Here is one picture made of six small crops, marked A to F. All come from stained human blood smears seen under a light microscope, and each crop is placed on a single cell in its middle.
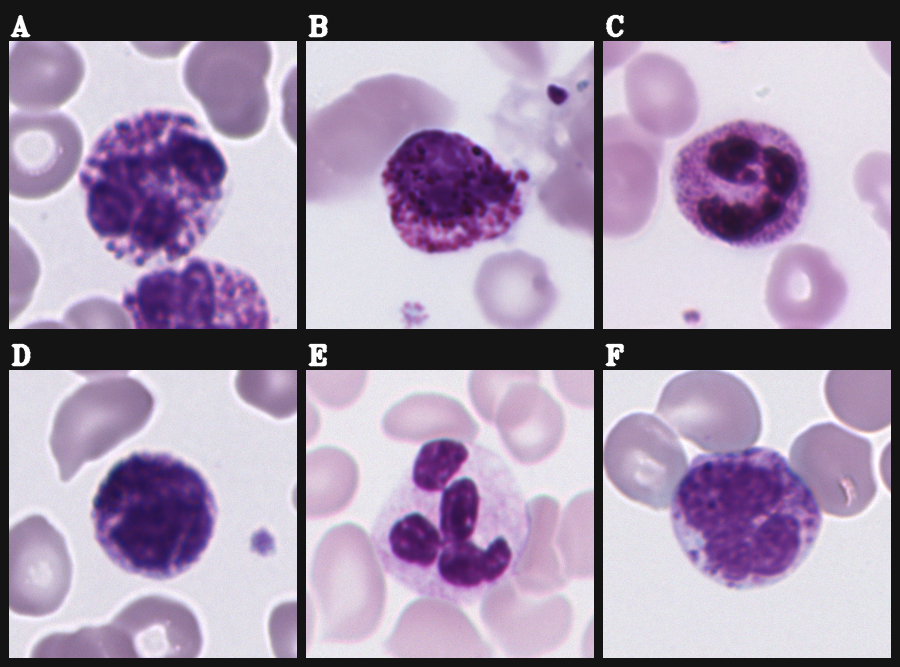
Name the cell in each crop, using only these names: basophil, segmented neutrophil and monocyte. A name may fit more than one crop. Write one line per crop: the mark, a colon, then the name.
A: basophil
B: basophil
C: segmented neutrophil
D: basophil
E: segmented neutrophil
F: basophil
